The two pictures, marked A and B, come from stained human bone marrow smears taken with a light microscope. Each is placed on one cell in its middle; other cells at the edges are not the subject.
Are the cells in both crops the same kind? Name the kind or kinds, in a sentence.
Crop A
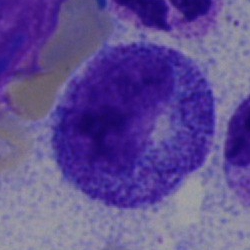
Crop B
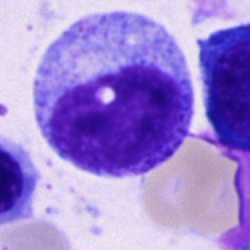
Yes, it is promyelocytes that both crops show.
